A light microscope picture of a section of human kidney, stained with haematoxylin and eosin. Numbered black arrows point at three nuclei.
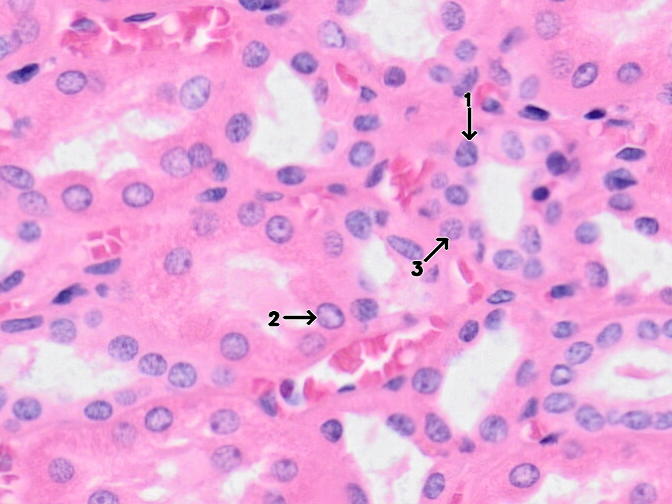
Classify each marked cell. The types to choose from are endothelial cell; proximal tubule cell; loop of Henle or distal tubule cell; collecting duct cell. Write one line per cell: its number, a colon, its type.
1: collecting duct cell
2: proximal tubule cell
3: collecting duct cell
